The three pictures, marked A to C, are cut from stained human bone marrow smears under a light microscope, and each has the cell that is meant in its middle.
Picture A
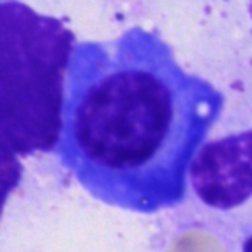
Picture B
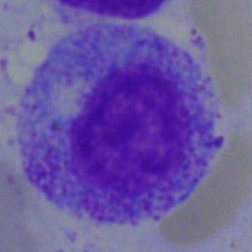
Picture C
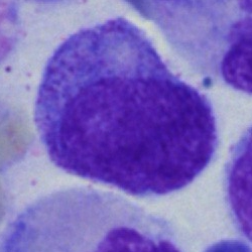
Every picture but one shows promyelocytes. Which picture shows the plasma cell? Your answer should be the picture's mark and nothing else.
A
